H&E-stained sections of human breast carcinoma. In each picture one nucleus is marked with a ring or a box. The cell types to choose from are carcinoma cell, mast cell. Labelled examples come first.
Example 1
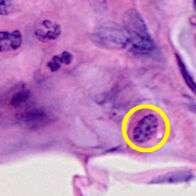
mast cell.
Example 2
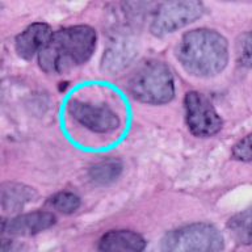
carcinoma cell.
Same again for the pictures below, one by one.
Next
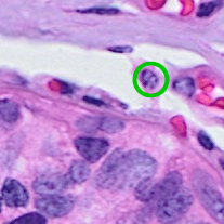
mast cell.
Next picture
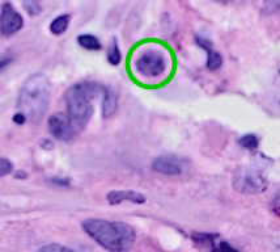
mast cell.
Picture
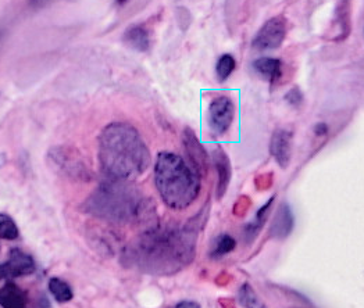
mast cell.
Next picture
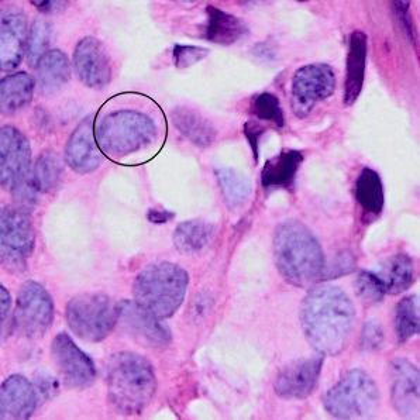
carcinoma cell.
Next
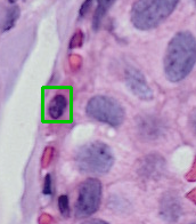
mast cell.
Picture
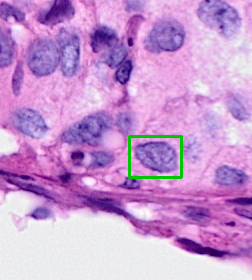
carcinoma cell.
